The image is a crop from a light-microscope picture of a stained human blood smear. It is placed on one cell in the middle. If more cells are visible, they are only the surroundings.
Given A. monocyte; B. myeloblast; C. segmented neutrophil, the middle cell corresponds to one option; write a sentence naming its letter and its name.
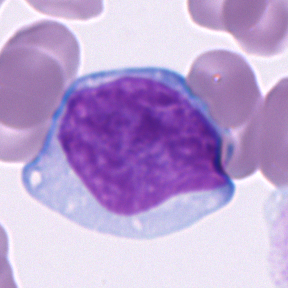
It is a myeloblast that occupies the centre of the crop, so option B is correct.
